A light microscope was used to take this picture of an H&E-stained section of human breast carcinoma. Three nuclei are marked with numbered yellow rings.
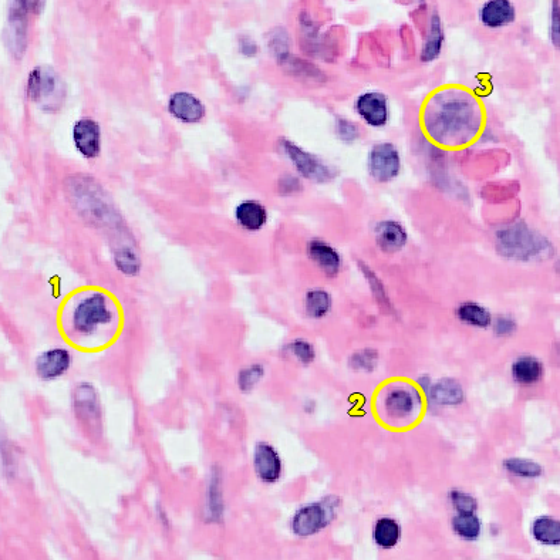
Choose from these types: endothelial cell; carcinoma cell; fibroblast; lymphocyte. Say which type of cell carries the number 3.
endothelial cell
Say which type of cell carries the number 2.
lymphocyte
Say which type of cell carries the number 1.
lymphocyte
